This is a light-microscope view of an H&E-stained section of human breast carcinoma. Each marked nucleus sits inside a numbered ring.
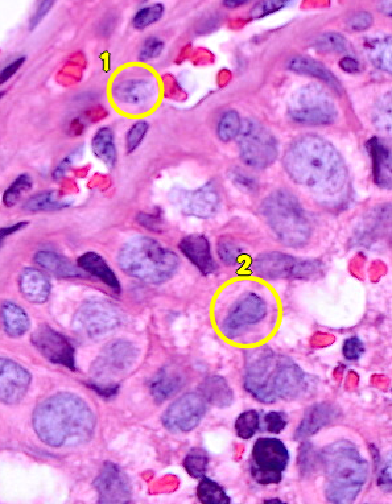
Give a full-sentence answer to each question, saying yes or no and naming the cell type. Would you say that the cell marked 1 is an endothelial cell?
Yes, the numbered cell 1 is identified as an endothelial cell.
